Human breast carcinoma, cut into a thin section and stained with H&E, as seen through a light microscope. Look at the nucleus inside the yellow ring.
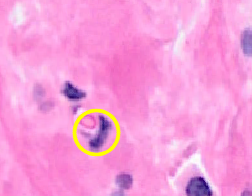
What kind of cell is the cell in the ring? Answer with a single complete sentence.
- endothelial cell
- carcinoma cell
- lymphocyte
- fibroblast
The classification of the cell in the ring is as an endothelial cell.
